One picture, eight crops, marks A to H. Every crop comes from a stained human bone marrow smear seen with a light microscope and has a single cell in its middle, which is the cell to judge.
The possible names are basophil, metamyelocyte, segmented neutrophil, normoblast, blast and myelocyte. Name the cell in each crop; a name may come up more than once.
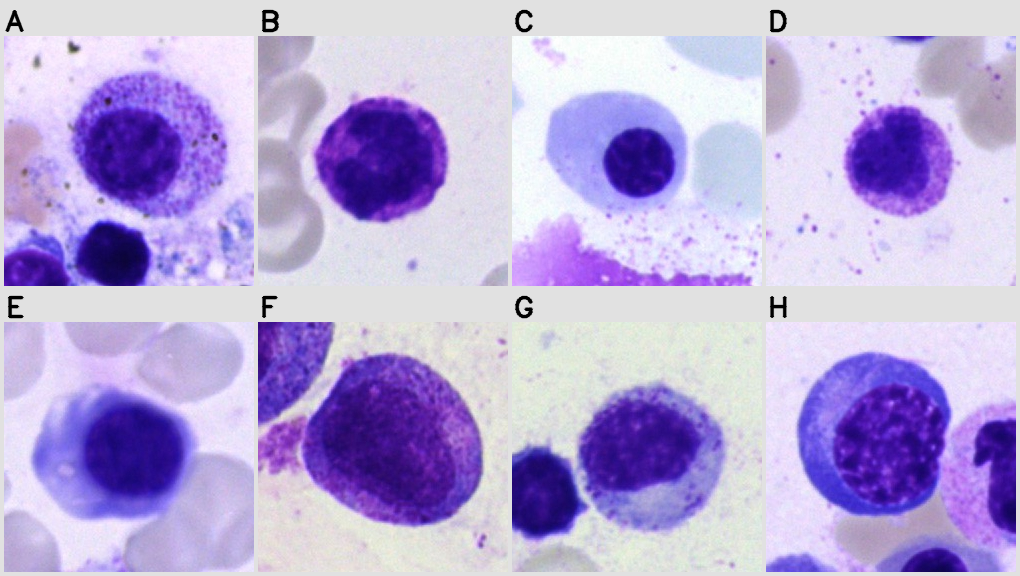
A: myelocyte
B: basophil
C: normoblast
D: basophil
E: normoblast
F: myelocyte
G: metamyelocyte
H: normoblast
